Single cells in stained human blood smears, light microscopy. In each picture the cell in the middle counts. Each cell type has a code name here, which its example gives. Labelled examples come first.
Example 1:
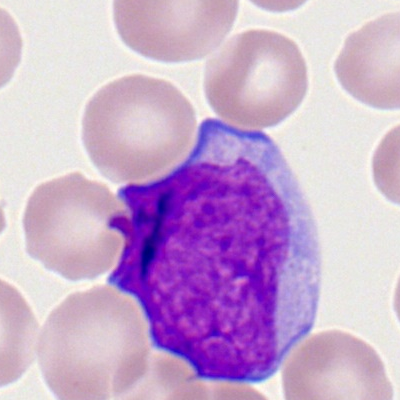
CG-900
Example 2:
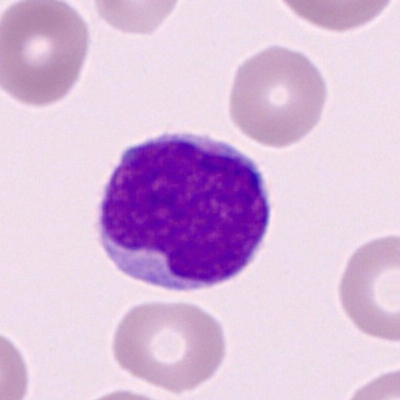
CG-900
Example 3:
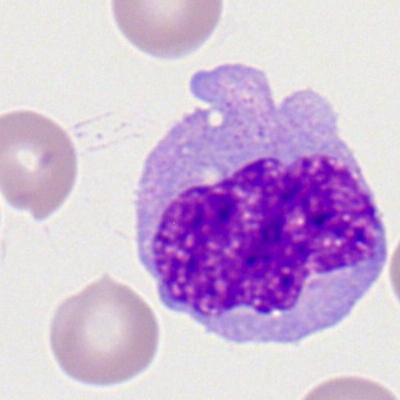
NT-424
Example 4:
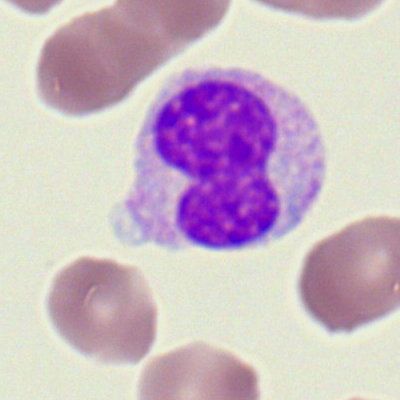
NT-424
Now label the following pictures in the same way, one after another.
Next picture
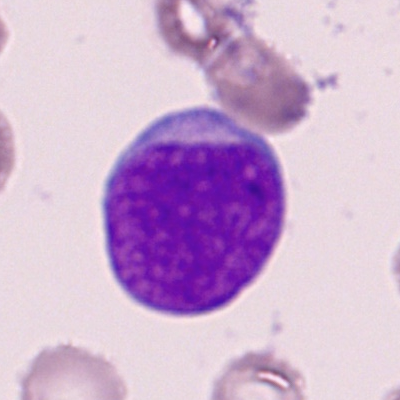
CG-900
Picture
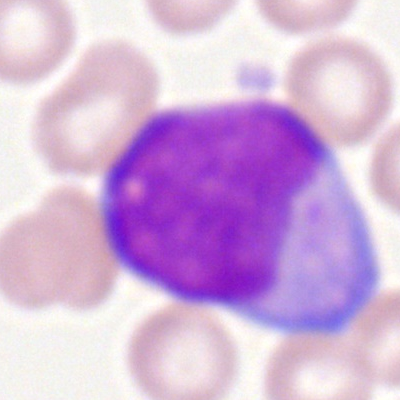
CG-900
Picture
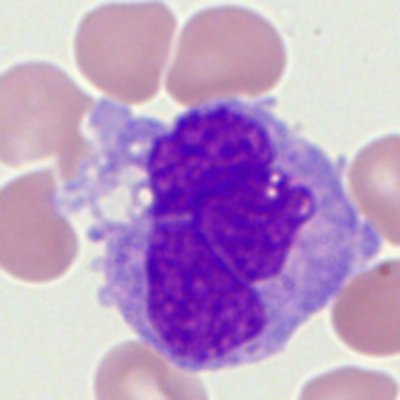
NT-424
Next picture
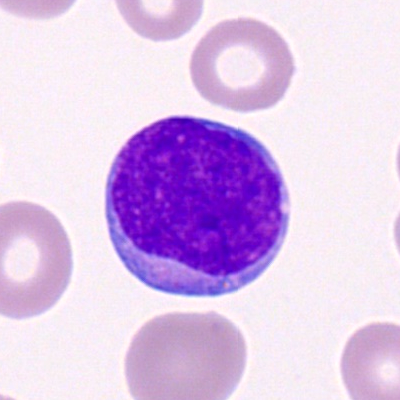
CG-900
